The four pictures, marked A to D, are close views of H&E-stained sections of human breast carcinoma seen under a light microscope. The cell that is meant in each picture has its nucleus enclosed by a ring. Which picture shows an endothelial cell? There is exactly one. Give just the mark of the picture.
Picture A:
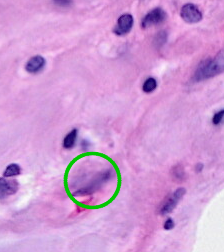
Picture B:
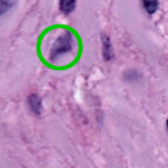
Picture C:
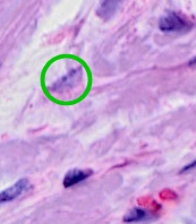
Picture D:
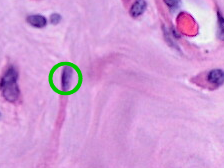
A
